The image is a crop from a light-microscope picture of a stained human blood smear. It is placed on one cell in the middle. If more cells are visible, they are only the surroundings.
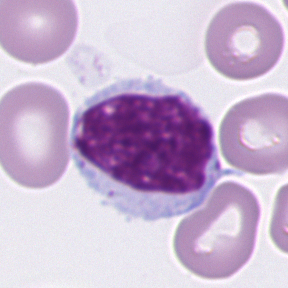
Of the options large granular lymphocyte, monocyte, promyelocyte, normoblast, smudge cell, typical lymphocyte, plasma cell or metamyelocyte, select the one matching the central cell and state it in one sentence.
The center cell of this crop is a large granular lymphocyte.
